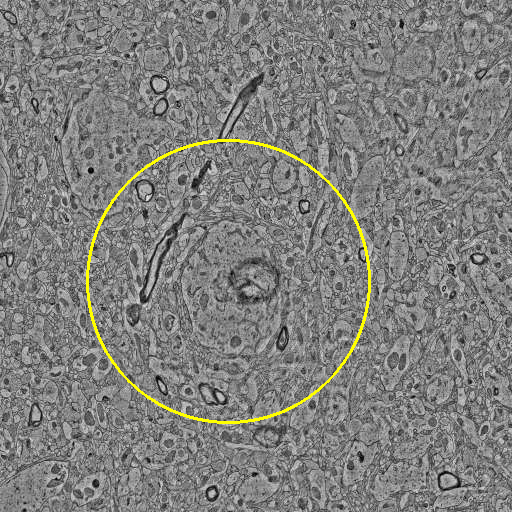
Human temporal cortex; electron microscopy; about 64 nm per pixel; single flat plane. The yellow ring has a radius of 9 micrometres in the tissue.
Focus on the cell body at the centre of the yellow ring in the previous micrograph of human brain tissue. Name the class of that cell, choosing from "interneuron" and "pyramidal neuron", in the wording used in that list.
pyramidal neuron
